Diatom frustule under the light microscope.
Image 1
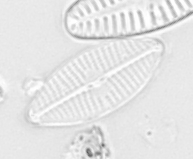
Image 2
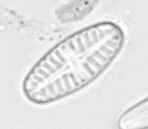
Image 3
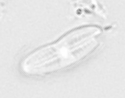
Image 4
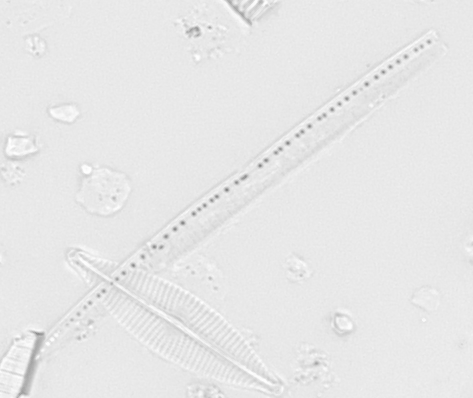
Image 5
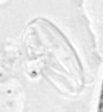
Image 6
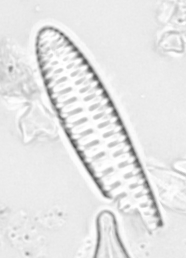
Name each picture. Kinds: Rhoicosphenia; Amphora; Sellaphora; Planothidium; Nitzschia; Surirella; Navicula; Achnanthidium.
1. Navicula
2. Planothidium
3. Sellaphora
4. Nitzschia
5. Sellaphora
6. Rhoicosphenia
